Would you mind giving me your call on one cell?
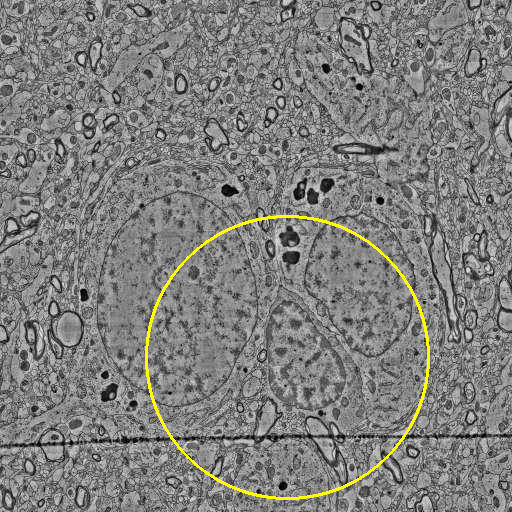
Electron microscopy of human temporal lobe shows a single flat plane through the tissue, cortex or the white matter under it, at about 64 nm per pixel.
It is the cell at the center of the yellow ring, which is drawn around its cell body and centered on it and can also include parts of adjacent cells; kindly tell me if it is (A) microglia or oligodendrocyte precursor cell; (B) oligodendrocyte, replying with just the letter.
B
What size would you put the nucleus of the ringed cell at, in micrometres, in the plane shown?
The ringed cell's nucleus is roughly 7 by 5 micrometres and clearly longer than it is wide in this plane.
